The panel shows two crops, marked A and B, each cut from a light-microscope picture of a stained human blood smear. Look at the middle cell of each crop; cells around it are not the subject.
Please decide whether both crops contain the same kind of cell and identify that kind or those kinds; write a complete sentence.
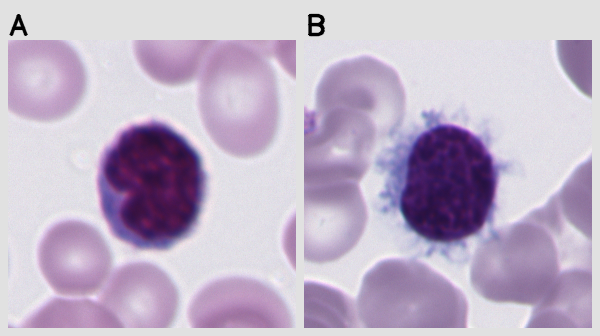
No, that is not right; crop A shows a typical lymphocyte and crop B shows a hairy cell.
